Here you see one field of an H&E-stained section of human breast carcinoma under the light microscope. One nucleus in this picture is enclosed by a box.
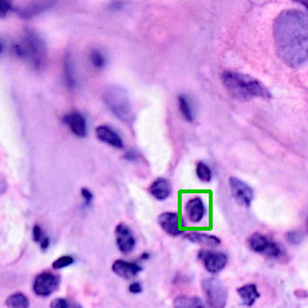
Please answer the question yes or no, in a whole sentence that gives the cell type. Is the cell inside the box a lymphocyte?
Yes, the cell inside the box is recognized as a lymphocyte in this section.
